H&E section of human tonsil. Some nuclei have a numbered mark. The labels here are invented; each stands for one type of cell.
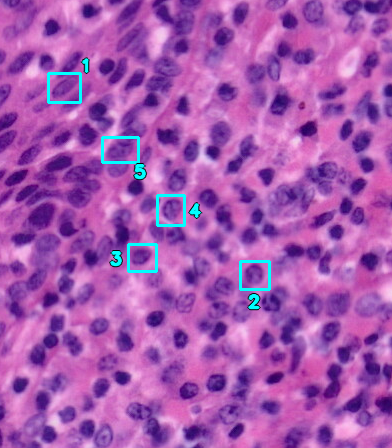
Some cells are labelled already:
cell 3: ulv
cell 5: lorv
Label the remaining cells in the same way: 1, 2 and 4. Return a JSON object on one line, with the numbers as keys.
{"1": "lorv", "2": "ulv", "4": "ulv"}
